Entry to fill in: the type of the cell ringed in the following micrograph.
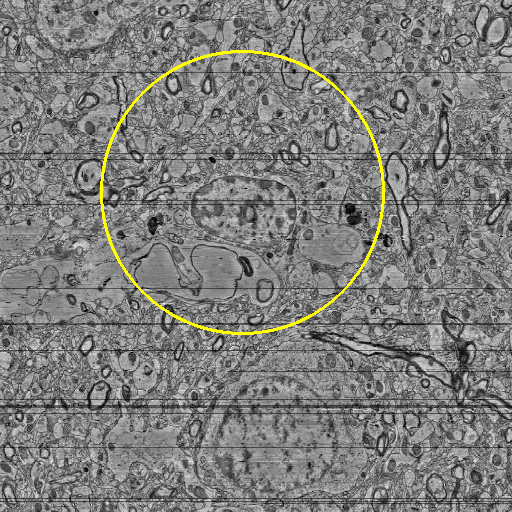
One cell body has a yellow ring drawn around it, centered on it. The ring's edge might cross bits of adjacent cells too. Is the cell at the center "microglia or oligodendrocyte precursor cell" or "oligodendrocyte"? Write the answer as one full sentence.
This entry names a microglial cell or oligodendrocyte precursor cell as the cell whose body lies at the ring's center.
